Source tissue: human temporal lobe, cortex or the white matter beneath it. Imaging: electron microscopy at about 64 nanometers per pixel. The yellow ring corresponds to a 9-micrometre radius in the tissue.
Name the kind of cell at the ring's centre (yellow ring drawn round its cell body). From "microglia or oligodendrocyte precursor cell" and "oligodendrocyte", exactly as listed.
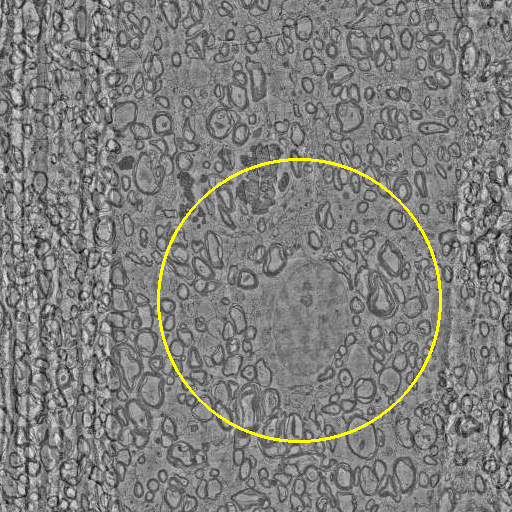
oligodendrocyte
